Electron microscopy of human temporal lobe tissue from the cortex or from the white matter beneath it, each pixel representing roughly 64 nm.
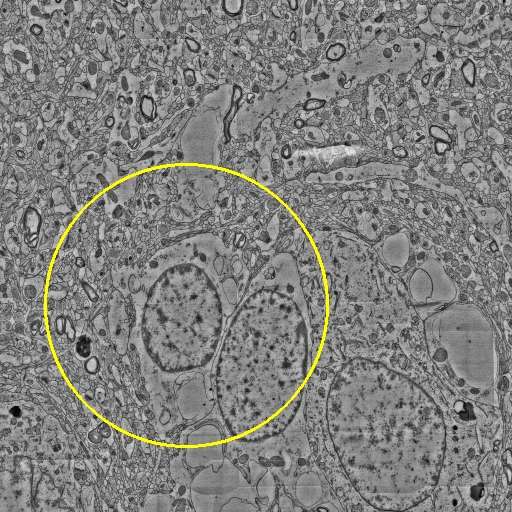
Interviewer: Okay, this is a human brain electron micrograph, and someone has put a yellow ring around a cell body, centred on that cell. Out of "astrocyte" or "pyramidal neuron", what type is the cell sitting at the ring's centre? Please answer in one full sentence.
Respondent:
The cell at the centre of the yellow ring in this picture is an astrocyte.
